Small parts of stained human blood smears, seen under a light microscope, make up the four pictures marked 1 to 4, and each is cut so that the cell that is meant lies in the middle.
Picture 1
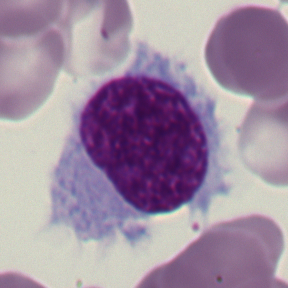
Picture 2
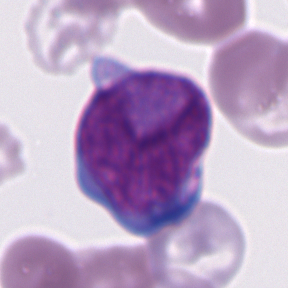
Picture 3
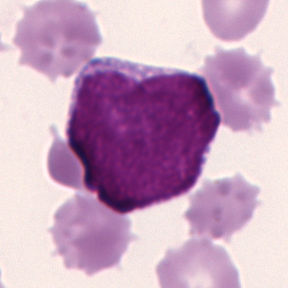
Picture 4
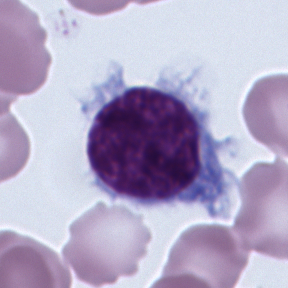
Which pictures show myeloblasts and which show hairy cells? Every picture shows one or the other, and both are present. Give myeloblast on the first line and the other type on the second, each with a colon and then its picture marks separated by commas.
myeloblast: 2, 3
hairy cell: 1, 4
